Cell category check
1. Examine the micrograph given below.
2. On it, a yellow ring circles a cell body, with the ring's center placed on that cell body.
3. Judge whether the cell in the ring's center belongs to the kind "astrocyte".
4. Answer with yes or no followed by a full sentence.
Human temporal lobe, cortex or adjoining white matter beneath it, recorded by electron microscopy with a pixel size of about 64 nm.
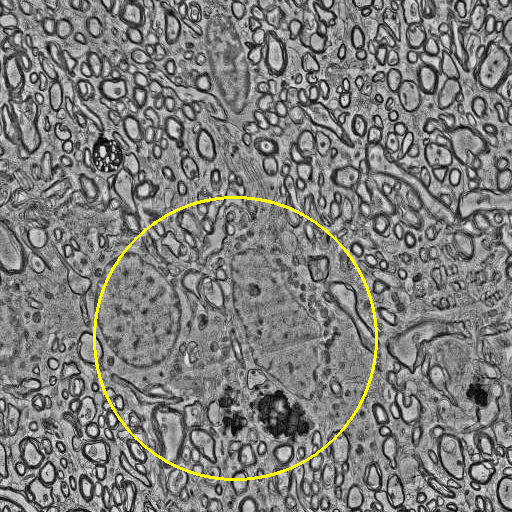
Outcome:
Yes, the cell at the center of the yellow ring belongs to that kind.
